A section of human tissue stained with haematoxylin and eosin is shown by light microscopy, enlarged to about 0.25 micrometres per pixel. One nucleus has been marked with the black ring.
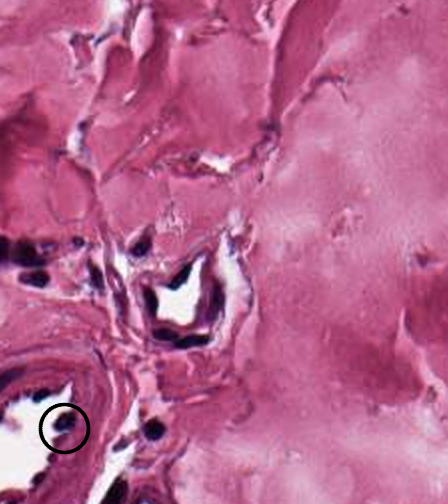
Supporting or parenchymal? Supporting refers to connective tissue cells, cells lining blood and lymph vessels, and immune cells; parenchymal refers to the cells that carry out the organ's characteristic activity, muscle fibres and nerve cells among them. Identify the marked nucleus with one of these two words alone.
supporting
